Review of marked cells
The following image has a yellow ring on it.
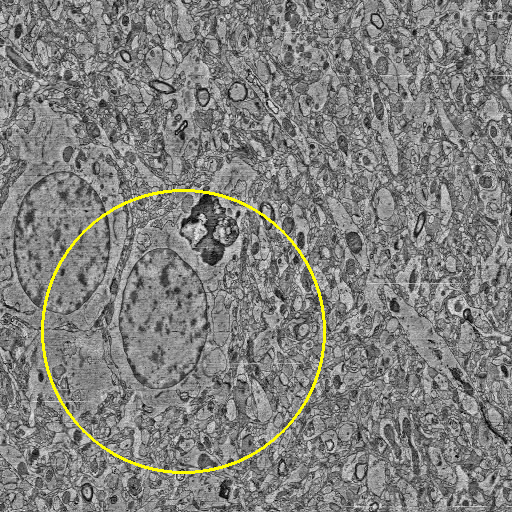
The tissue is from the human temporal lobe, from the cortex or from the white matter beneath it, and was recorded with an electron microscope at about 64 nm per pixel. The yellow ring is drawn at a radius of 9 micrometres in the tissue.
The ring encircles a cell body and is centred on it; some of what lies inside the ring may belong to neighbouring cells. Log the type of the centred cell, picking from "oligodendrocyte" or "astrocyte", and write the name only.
astrocyte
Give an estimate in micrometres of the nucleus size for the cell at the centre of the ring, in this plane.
About 9 by 6 micrometers; the nucleus is clearly longer than it is wide in this plane.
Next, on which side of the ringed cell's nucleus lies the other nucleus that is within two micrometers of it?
The second nucleus is to the upper left of it.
